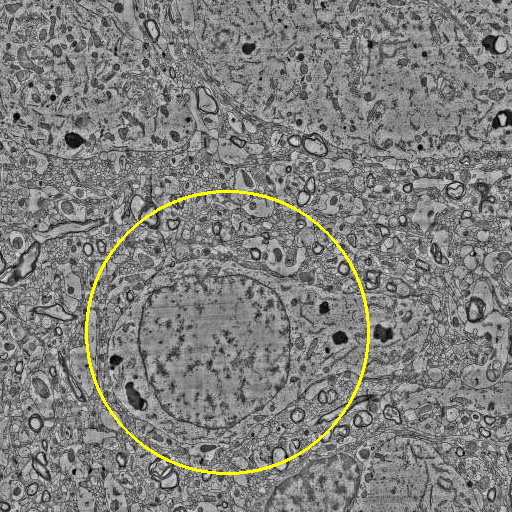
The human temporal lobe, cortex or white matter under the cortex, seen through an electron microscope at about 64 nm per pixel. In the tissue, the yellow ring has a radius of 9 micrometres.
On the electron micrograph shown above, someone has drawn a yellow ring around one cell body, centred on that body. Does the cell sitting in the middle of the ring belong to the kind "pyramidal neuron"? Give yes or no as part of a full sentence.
Yes, the cell located in the middle of the ring in the micrograph is of that kind.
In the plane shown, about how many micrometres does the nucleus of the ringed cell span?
In this plane the nucleus measures roughly 10 micrometres across.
